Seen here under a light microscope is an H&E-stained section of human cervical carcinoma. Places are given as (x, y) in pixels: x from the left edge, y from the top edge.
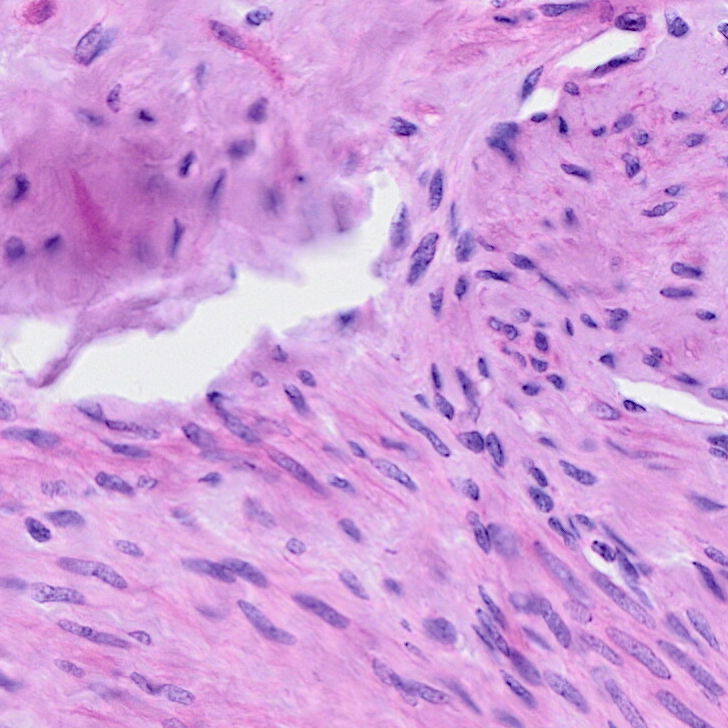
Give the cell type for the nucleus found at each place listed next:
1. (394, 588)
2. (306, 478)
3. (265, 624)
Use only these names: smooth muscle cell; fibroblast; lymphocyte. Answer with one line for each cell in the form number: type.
1: fibroblast
2: smooth muscle cell
3: fibroblast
